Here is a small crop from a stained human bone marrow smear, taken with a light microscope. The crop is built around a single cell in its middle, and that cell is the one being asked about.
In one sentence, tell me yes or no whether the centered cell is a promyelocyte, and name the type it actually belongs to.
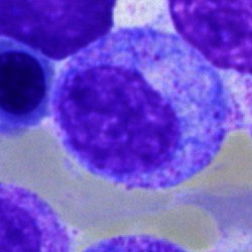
Yes, in the centre of this field sits a promyelocyte.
